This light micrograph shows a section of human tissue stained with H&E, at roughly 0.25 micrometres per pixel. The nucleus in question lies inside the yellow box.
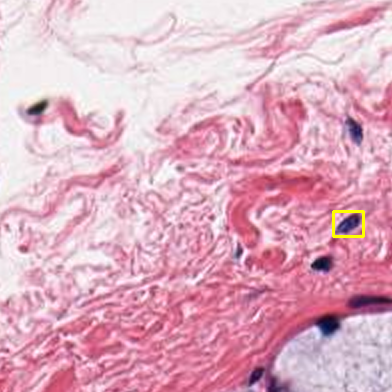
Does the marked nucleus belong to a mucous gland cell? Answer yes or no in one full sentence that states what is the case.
No, the marked nucleus belongs to a supporting cell, and a mucous gland cell is not its owner.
